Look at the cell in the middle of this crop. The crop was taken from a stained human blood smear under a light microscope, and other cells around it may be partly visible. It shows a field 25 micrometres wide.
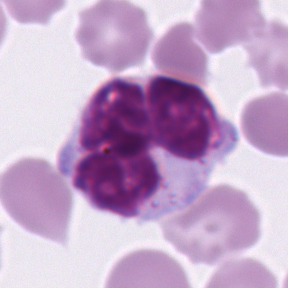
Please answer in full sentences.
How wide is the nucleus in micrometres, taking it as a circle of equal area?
The nucleus is about 11 micrometres across.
